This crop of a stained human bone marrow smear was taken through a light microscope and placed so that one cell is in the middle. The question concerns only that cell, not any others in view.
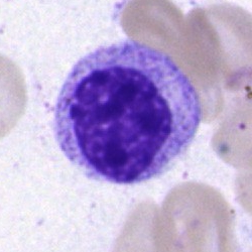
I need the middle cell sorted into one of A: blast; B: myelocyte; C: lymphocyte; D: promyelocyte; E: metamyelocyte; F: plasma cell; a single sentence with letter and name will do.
Given that the cell in the middle is a myelocyte, option B is correct.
